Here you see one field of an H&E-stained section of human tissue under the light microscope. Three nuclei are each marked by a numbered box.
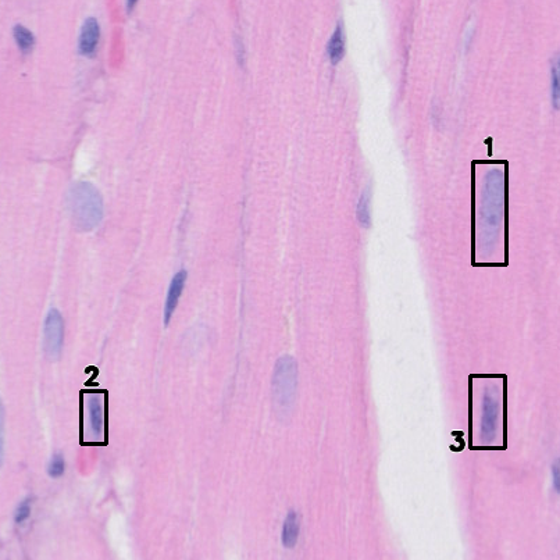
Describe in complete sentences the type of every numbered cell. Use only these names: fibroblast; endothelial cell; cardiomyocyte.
Cell 1 is a cardiomyocyte, cell 2 is an endothelial cell and cell 3 is an endothelial cell.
